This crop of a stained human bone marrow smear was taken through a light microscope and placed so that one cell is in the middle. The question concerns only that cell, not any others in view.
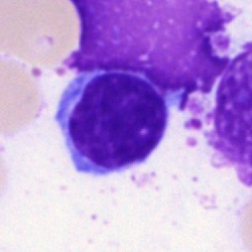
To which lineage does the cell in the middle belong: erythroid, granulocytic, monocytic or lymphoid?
lymphoid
